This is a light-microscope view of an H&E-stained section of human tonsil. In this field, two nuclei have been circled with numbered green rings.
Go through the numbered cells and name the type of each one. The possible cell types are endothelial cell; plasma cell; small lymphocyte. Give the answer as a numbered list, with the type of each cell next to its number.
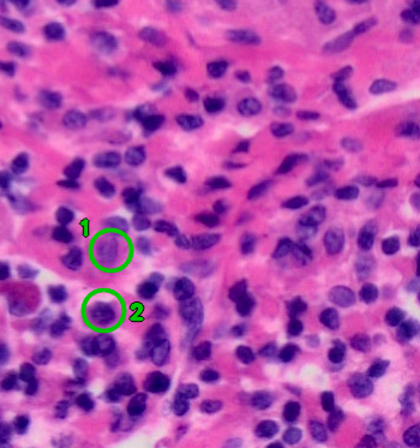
1. endothelial cell
2. plasma cell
